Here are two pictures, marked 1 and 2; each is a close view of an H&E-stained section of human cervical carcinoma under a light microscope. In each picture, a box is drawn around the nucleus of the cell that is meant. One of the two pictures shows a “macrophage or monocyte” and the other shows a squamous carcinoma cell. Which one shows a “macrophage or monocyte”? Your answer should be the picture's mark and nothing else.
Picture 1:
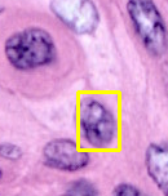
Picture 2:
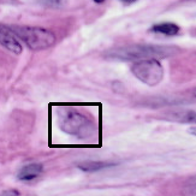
2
